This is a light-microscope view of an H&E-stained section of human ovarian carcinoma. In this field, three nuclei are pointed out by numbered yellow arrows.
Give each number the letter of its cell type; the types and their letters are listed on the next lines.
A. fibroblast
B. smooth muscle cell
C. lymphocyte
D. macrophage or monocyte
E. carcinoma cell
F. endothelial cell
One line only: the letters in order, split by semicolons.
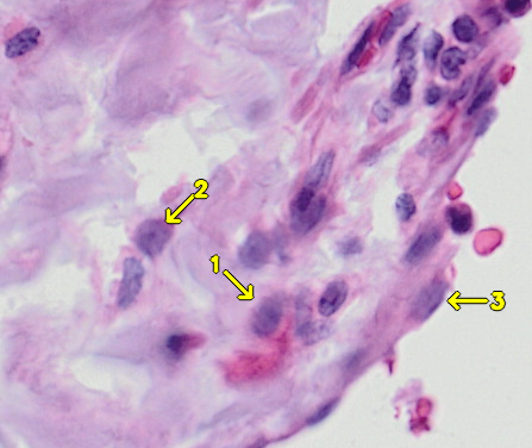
F; A; F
